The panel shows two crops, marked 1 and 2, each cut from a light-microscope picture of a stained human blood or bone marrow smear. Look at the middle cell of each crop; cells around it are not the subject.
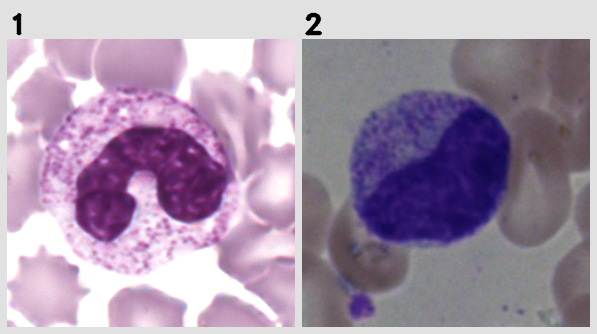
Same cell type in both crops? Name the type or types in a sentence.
No, sorry, crop 1 shows a band neutrophil and crop 2 shows a metamyelocyte.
